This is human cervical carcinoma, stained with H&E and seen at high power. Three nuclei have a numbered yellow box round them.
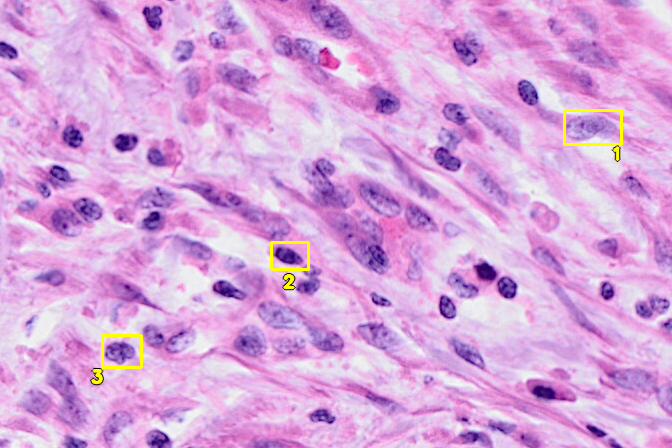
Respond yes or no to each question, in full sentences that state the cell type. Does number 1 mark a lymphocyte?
No. Cell number 1 is a fibroblast, not a lymphocyte.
